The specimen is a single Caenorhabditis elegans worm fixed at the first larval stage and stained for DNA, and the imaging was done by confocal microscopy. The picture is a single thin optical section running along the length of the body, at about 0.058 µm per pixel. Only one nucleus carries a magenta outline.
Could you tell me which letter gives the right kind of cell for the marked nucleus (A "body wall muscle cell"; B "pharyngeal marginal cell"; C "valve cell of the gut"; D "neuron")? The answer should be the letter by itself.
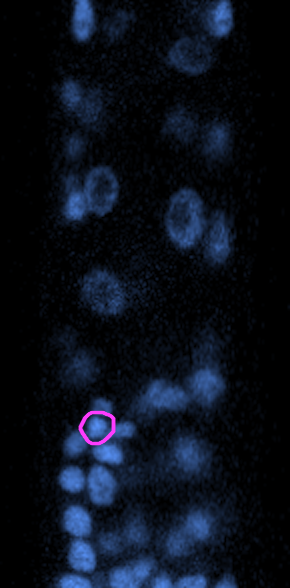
C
